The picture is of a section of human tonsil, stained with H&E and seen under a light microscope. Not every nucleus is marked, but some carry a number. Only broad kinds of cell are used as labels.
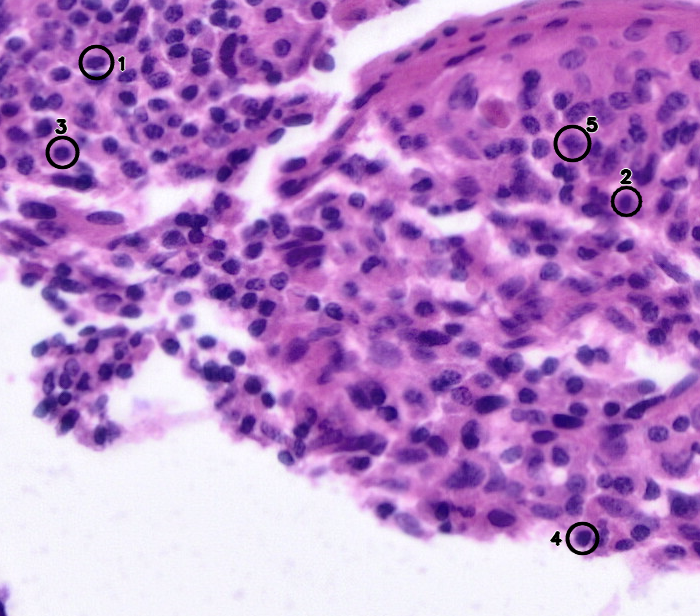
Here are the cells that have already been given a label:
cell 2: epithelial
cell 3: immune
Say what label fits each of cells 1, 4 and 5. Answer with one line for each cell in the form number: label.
1: immune
4: immune
5: epithelial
